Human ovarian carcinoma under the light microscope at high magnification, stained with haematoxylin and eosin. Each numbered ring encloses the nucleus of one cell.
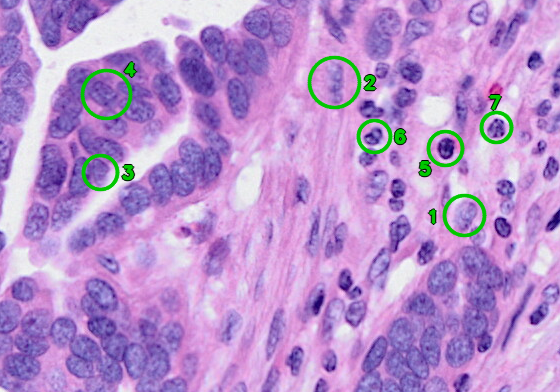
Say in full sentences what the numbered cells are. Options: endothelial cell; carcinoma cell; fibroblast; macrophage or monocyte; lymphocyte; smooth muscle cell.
Cell 1 is a fibroblast, cell 2 is a fibroblast, cell 3 is a carcinoma cell, cell 4 is a carcinoma cell, cell 5 is a lymphocyte, cell 6 is a lymphocyte and cell 7 is a lymphocyte.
